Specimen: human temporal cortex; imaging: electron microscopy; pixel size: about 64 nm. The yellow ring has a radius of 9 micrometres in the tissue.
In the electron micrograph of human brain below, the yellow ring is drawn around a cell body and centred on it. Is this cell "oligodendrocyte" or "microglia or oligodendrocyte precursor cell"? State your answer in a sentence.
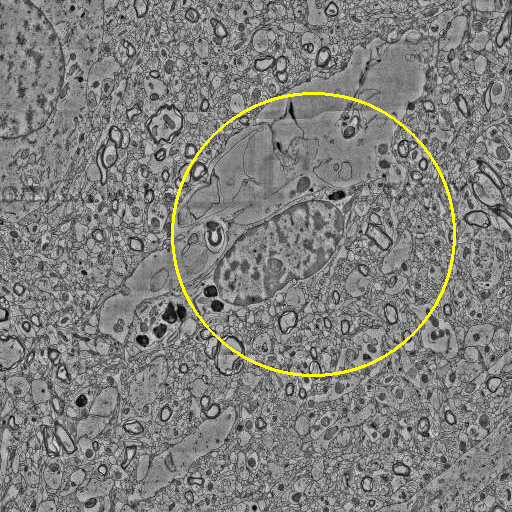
The cell in the middle of the ring is a microglial cell or oligodendrocyte precursor cell.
